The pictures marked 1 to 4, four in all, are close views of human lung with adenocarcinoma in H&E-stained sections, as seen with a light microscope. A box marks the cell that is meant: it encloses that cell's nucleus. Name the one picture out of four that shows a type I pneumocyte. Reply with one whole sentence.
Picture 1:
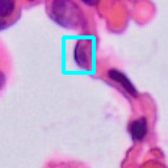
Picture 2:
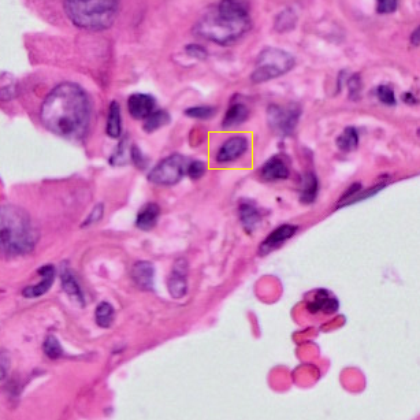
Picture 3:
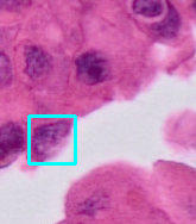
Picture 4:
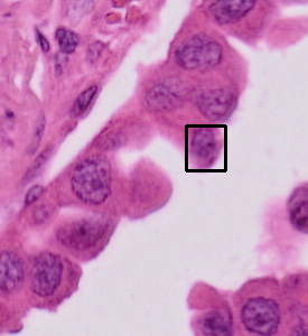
The cell in picture 1 is the type I pneumocyte.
